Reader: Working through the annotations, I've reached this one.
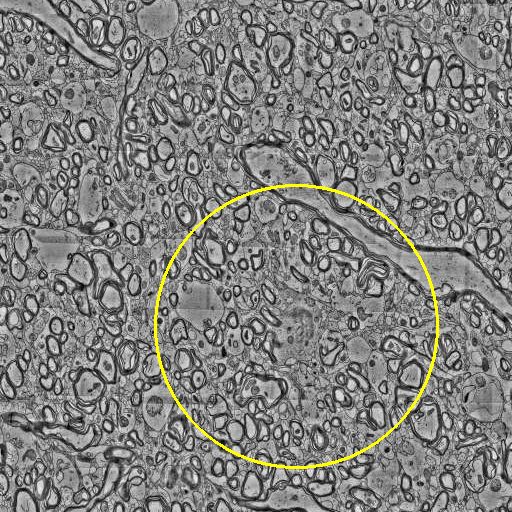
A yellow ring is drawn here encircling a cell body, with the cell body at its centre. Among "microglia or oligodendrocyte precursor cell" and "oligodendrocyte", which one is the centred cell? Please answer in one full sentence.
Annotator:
The cell body at the centre of the yellow ring in this image belongs to an oligodendrocyte.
